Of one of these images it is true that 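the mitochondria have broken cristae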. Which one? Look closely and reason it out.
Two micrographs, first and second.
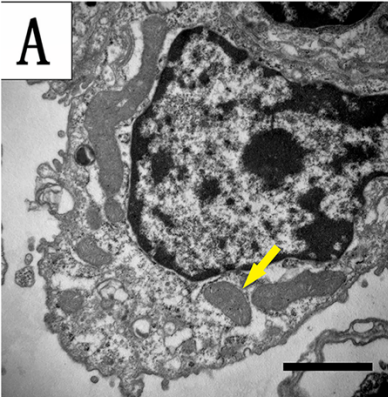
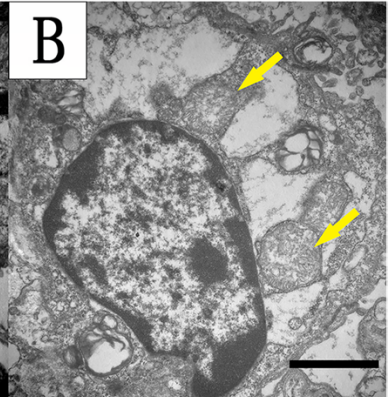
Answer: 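The second image. Second image: the marked mitochondria are pale and swollen with few, fragmented cristae. First image: the marked mitochondrion is dense and elongated with regular cristae.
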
